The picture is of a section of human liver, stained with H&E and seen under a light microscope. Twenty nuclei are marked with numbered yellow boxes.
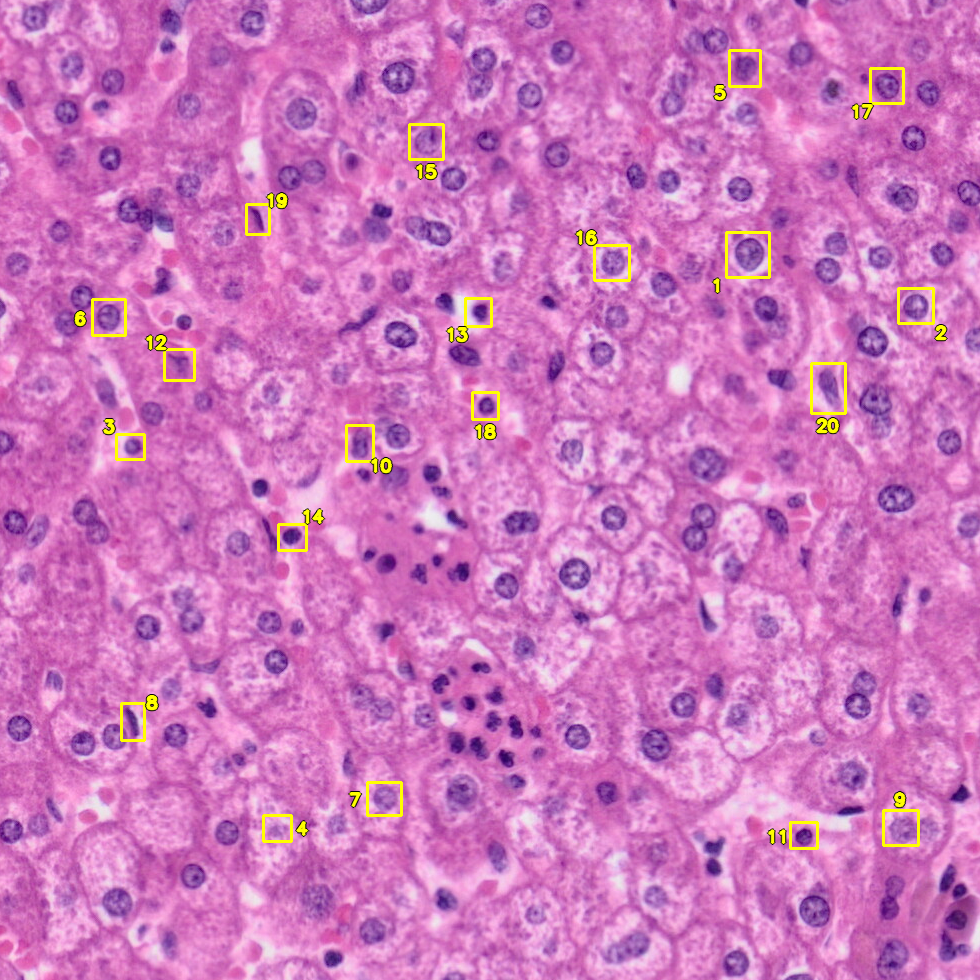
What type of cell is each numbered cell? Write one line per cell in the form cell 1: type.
cell 1: hepatocyte
cell 2: hepatocyte
cell 3: lymphocyte
cell 4: hepatocyte
cell 5: endothelial cell
cell 6: hepatocyte
cell 7: hepatocyte
cell 8: endothelial cell
cell 9: hepatocyte
cell 10: Kupffer cell
cell 11: lymphocyte
cell 12: endothelial cell
cell 13: lymphocyte
cell 14: lymphocyte
cell 15: hepatocyte
cell 16: hepatocyte
cell 17: hepatocyte
cell 18: lymphocyte
cell 19: endothelial cell
cell 20: Kupffer cell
